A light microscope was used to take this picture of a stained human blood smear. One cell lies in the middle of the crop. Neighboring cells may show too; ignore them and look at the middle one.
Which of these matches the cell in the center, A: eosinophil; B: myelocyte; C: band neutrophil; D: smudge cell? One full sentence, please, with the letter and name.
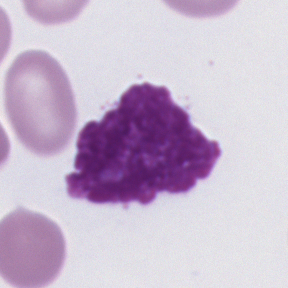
The cell at the heart of the crop is a smudge cell, so choose option D.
